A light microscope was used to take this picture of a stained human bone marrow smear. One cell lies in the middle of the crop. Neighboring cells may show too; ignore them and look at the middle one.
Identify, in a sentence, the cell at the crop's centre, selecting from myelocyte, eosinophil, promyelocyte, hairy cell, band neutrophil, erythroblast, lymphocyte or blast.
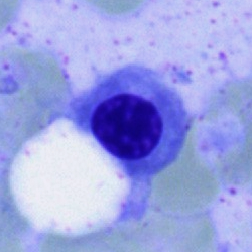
The cell shown in the center of this light-microscope crop is an erythroblast.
